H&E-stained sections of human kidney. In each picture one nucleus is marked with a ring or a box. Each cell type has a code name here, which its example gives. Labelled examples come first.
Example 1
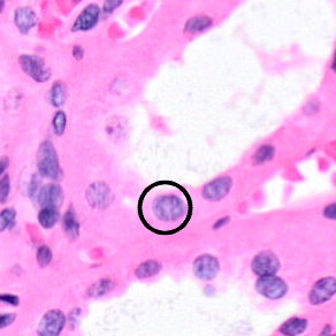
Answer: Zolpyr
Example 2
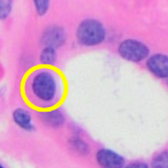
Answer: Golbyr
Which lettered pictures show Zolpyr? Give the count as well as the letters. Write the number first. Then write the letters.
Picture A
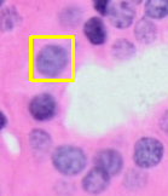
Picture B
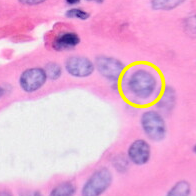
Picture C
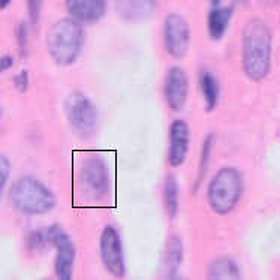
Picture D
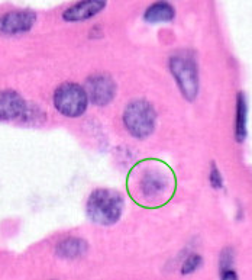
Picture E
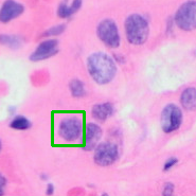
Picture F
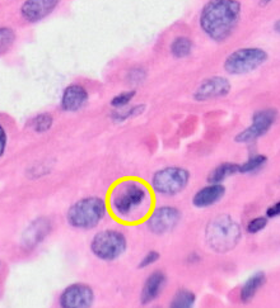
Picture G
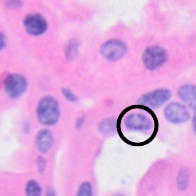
Count: 3 (C, D, F)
